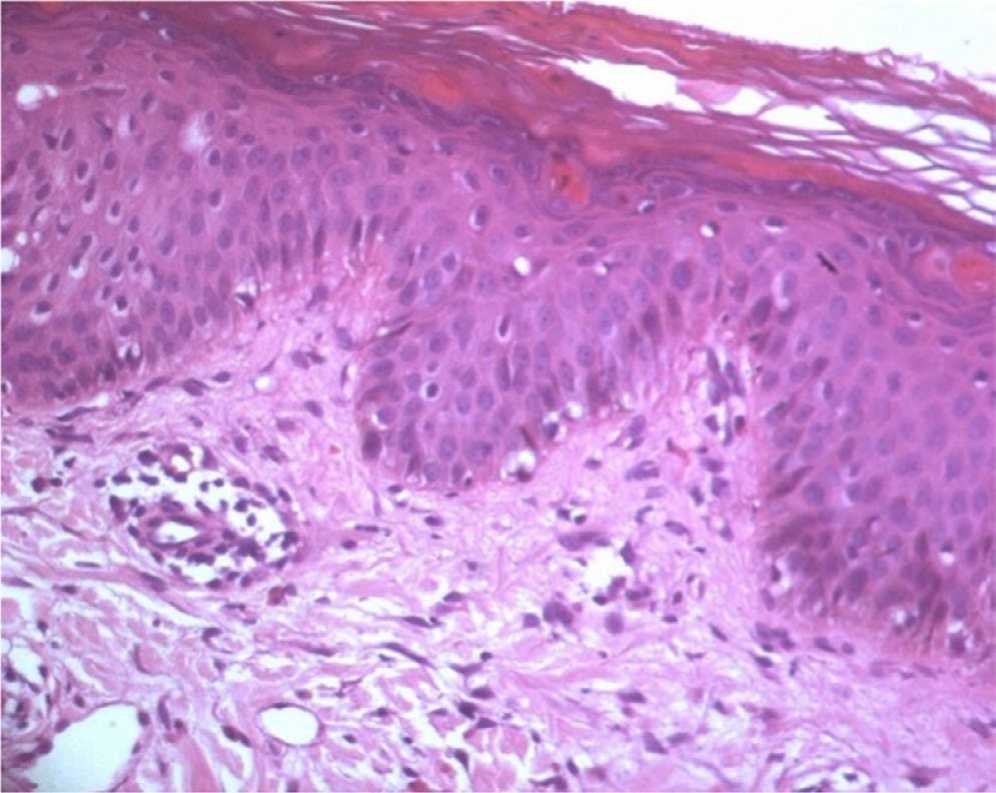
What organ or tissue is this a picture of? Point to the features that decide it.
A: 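A stratified squamous epithelium with a layered, flaking pink surface layer lies above. Loose fibrous connective tissue with small vessels lies beneath the epithelium.
Hence: skin.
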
